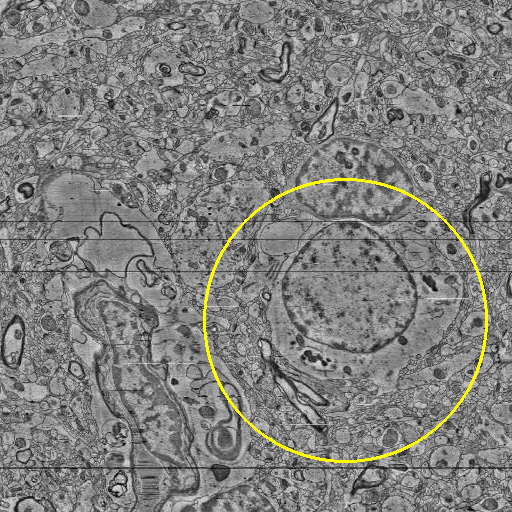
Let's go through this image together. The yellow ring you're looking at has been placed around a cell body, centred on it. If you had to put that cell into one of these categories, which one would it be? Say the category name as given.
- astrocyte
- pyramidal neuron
astrocyte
